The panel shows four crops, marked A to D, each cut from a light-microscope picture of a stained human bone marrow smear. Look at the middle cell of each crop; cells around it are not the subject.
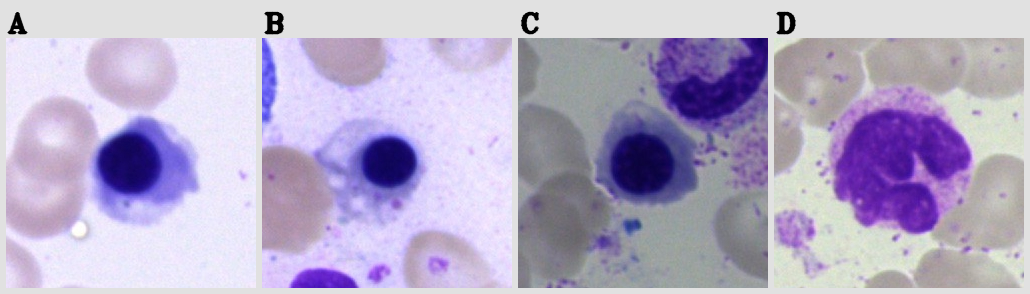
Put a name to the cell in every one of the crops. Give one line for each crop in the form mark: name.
A: erythroblast
B: erythroblast
C: erythroblast
D: segmented neutrophil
